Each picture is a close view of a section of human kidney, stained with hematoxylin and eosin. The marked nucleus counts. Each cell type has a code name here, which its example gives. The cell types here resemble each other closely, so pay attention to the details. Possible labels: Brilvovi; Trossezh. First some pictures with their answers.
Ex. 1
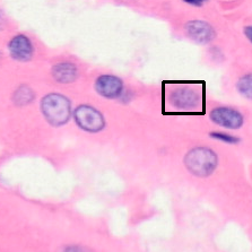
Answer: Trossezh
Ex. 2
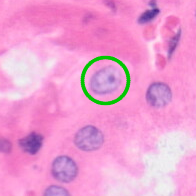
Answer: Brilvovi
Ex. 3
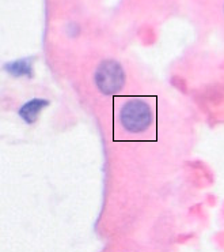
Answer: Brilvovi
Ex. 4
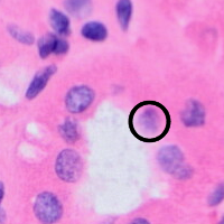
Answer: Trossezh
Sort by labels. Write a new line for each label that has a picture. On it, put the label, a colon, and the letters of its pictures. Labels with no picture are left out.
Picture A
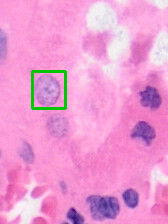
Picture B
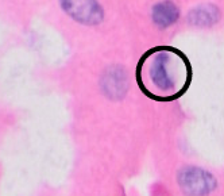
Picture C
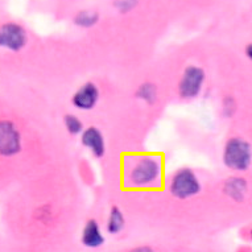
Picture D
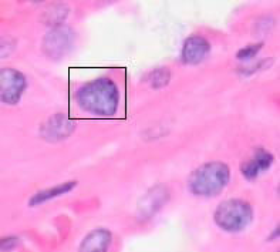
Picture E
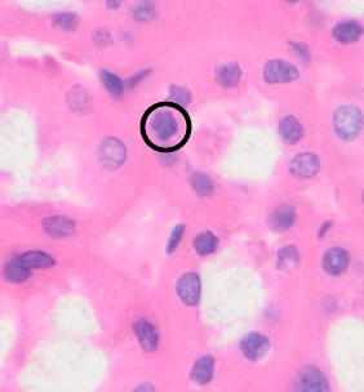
Brilvovi: A
Trossezh: B, C, D, E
